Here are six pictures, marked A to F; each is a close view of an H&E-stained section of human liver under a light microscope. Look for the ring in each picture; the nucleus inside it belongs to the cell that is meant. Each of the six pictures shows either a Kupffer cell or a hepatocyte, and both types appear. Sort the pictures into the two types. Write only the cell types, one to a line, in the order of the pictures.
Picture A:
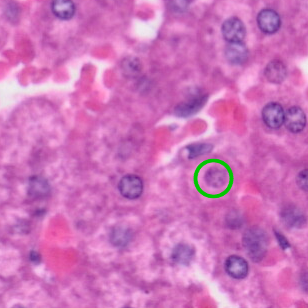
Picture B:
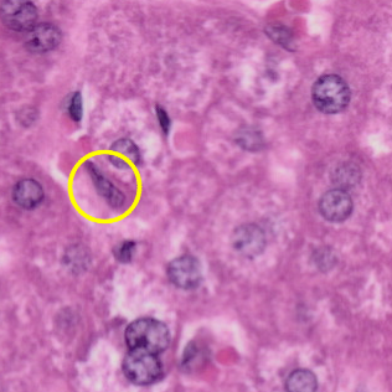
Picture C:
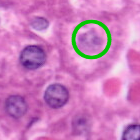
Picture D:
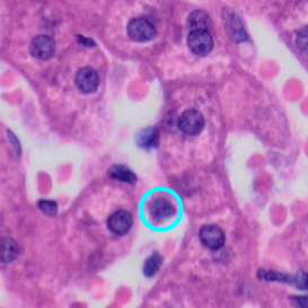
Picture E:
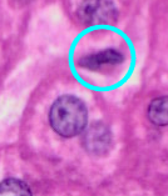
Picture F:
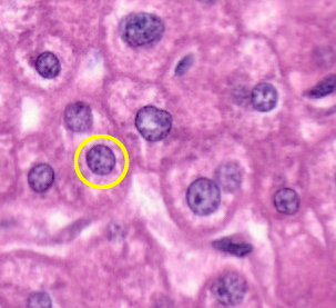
hepatocyte
Kupffer cell
hepatocyte
Kupffer cell
Kupffer cell
hepatocyte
